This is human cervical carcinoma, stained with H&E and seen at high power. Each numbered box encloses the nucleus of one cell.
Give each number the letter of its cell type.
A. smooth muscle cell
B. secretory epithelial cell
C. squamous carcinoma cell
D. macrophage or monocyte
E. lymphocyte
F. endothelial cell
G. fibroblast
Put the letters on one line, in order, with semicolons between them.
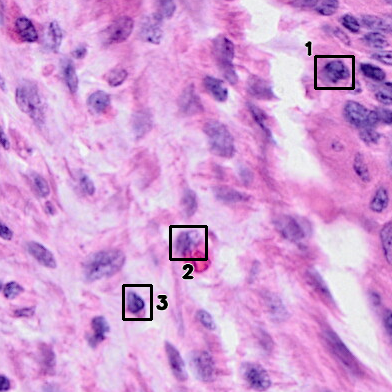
C; F; E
